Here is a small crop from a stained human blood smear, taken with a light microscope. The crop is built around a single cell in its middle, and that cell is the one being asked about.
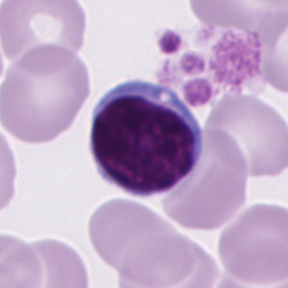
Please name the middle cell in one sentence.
The target cell in the middle of the crop is a typical lymphocyte.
